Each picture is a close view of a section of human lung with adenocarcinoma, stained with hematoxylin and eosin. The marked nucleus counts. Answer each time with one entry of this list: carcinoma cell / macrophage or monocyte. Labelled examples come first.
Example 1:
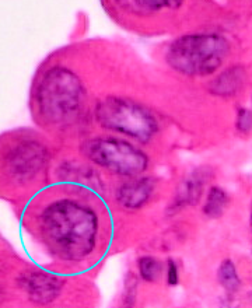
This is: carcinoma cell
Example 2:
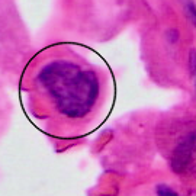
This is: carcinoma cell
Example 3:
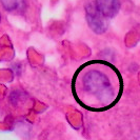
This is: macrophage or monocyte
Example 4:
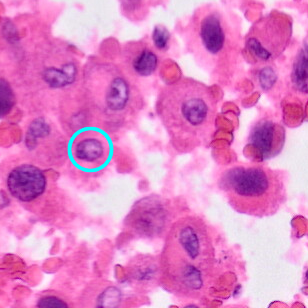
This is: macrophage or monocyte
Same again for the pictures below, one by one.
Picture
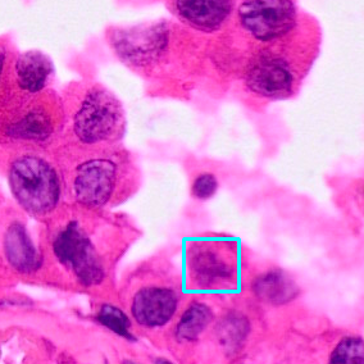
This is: carcinoma cell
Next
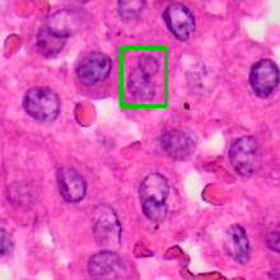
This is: macrophage or monocyte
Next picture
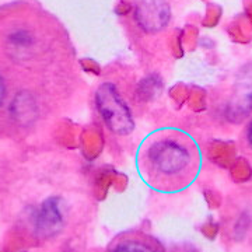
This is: macrophage or monocyte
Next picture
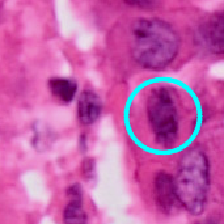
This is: carcinoma cell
